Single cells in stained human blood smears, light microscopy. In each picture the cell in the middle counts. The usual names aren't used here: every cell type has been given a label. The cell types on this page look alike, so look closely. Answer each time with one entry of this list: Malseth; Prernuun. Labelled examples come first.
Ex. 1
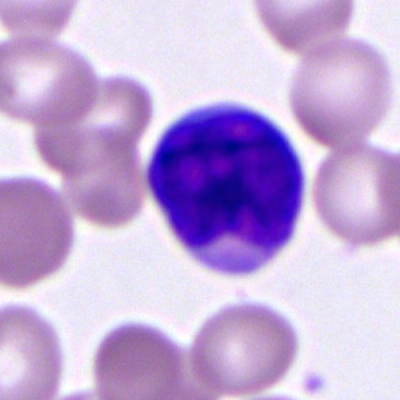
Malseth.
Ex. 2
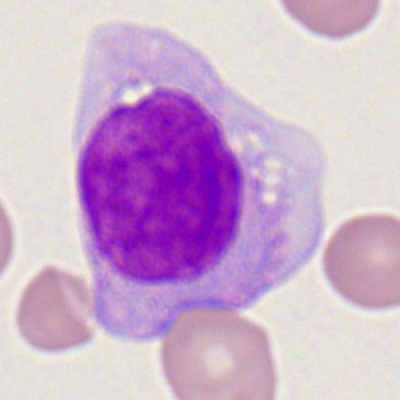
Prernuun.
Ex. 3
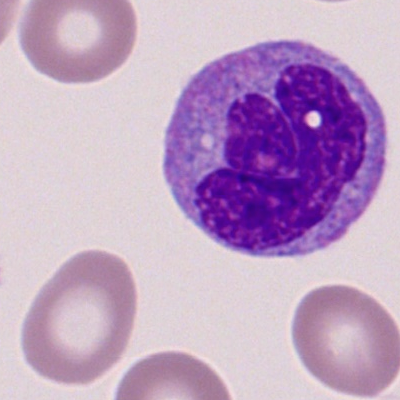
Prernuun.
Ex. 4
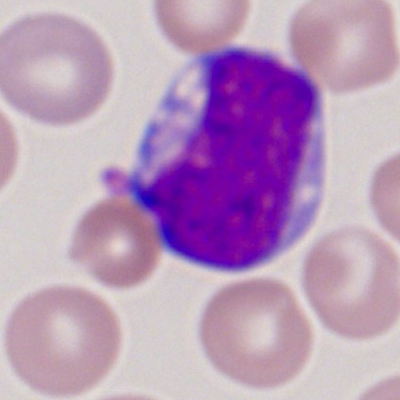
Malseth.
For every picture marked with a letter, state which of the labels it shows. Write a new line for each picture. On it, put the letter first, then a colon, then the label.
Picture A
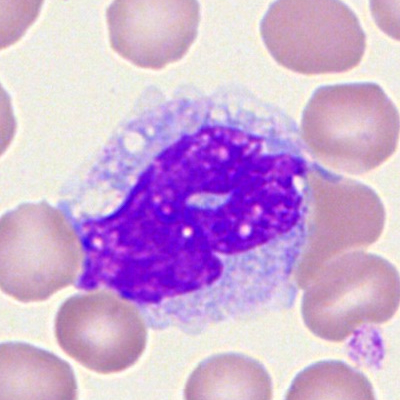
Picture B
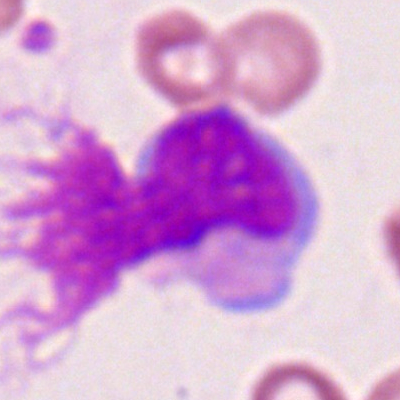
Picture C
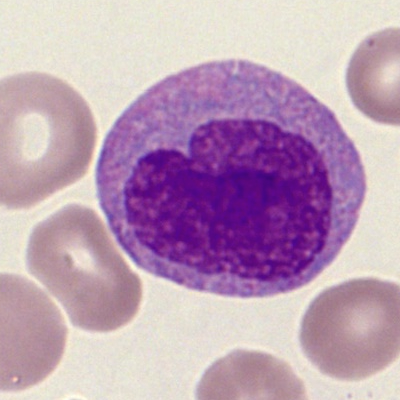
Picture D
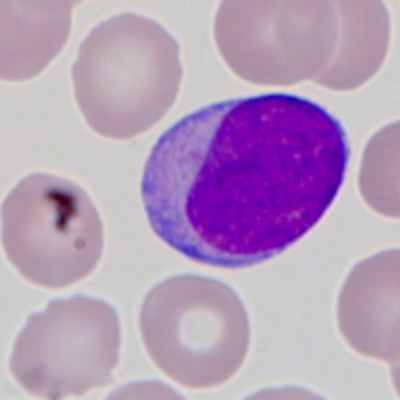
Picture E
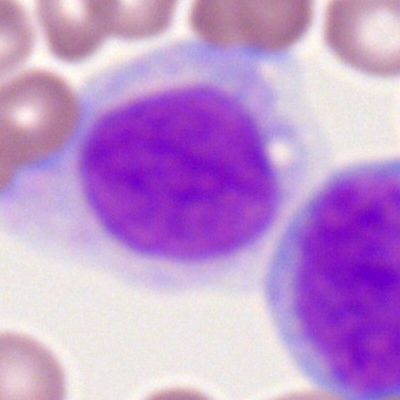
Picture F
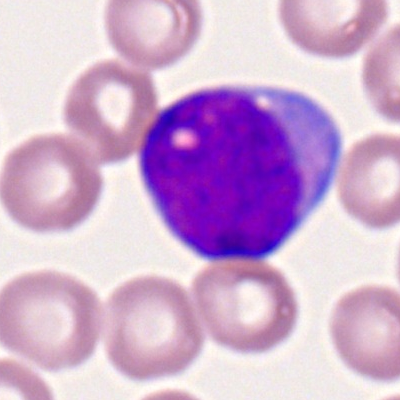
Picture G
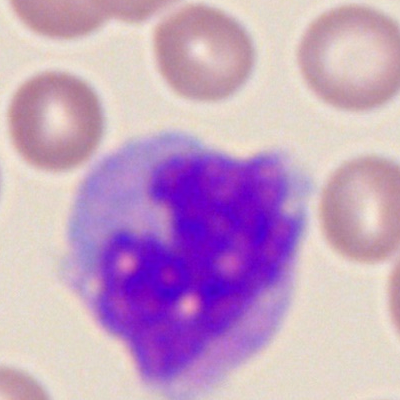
A: Prernuun.
B: Prernuun.
C: Malseth.
D: Malseth.
E: Prernuun.
F: Malseth.
G: Prernuun.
